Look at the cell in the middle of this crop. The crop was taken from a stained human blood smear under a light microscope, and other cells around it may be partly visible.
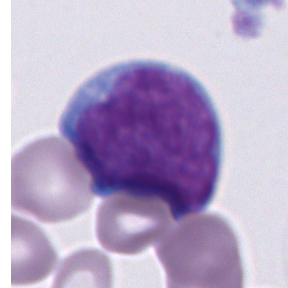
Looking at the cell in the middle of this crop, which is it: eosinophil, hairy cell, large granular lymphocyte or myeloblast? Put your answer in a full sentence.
Among the cells in view, the one in the middle is a myeloblast.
